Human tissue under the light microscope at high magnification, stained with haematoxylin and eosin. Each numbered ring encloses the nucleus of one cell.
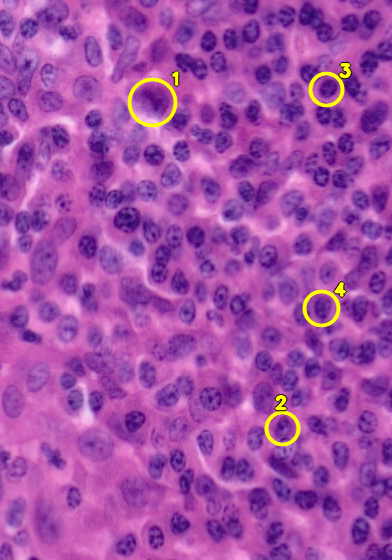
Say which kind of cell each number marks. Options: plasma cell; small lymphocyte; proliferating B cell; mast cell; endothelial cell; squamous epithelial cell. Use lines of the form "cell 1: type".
cell 1: squamous epithelial cell
cell 2: plasma cell
cell 3: plasma cell
cell 4: plasma cell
